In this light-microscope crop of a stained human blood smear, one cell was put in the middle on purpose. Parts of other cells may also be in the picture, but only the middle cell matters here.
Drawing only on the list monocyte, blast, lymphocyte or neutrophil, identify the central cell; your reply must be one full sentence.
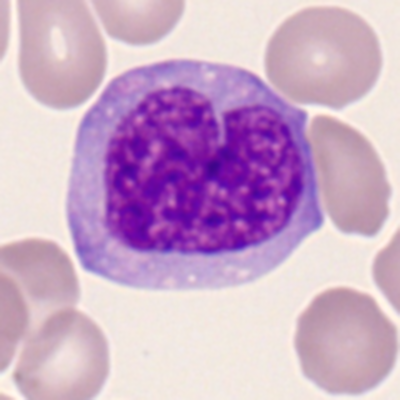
Here the cell in the middle is a monocyte.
